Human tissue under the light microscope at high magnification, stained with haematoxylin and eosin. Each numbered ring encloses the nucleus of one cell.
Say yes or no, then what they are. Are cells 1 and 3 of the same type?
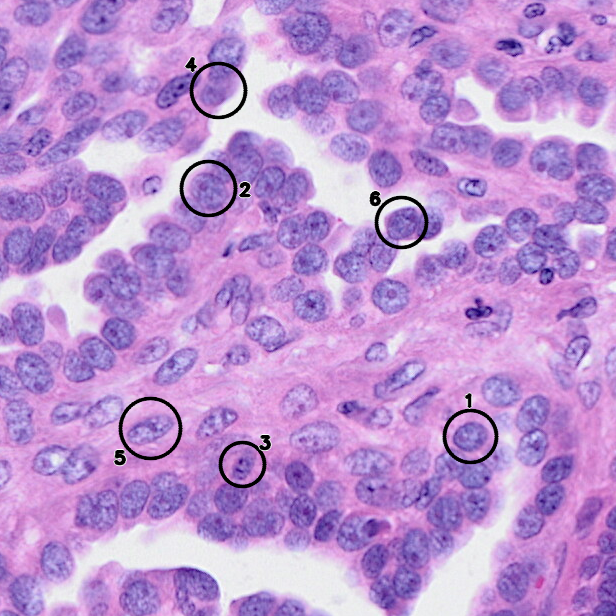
No, sorry to say, cell 1 is a carcinoma cell and cell 3 is a macrophage or monocyte.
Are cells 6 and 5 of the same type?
No, the cell bearing number 6 is a carcinoma cell, while the one bearing number 5 is a fibroblast.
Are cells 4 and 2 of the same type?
Yes, the pair formed by cells 4 and 2 consists of two carcinoma cells.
